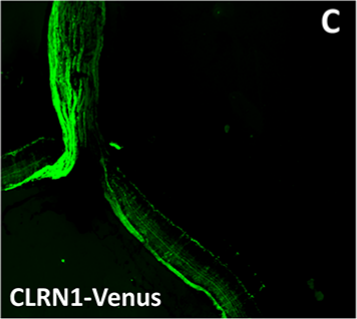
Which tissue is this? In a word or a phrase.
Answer: Optic nerve.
